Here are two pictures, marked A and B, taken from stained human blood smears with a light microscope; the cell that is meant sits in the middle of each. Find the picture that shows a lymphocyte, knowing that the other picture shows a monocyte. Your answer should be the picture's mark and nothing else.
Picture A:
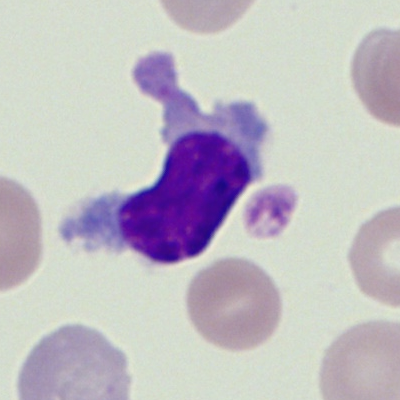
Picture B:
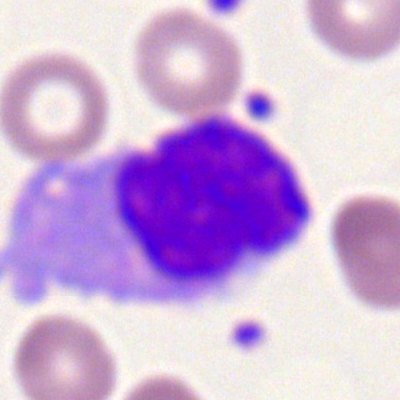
A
